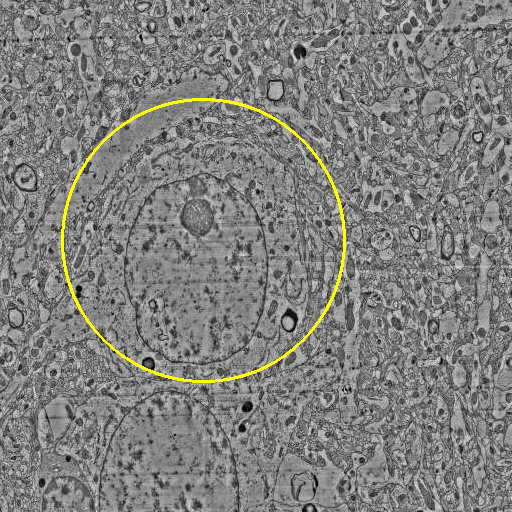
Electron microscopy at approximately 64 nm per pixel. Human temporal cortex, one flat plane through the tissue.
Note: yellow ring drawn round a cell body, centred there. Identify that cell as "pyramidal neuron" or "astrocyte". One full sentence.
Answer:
The cell in the middle of the ring is a pyramidal neuron.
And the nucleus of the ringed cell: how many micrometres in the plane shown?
Approximately 12 x 9 micrometres in this plane.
